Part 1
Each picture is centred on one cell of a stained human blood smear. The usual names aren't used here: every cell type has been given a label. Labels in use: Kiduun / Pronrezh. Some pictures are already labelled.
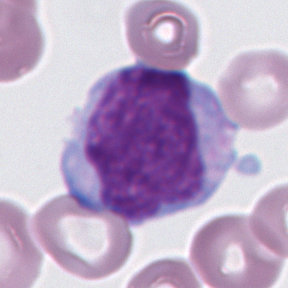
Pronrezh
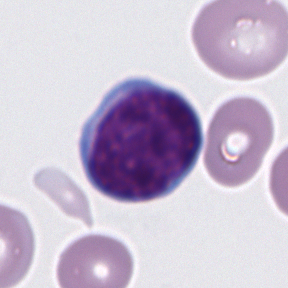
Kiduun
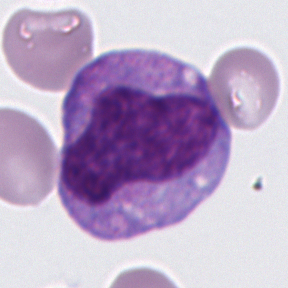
Pronrezh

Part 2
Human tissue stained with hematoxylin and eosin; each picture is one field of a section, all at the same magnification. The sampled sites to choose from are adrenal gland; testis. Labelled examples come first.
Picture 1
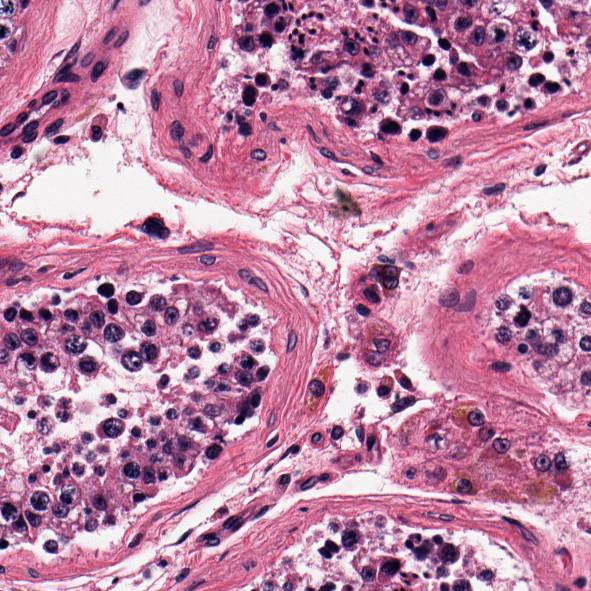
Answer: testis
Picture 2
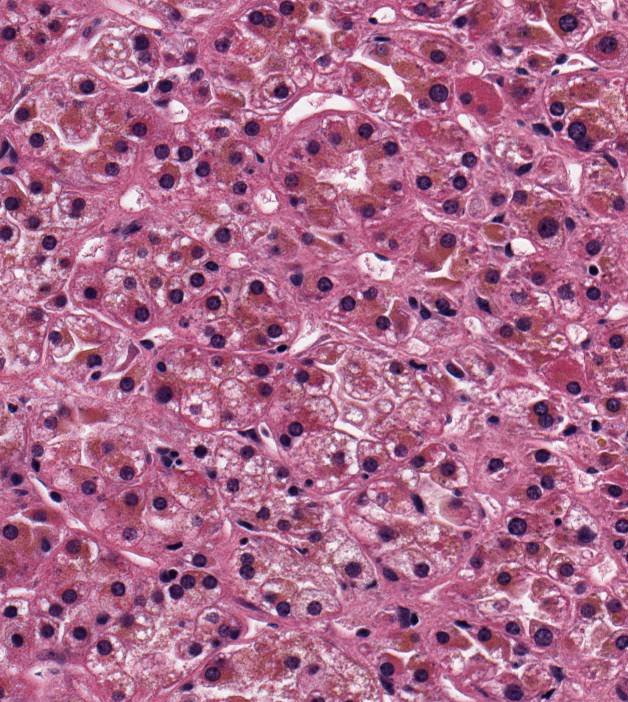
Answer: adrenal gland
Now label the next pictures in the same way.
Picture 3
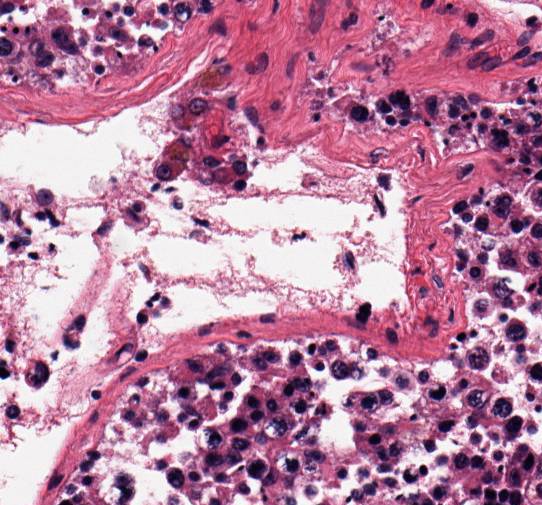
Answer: testis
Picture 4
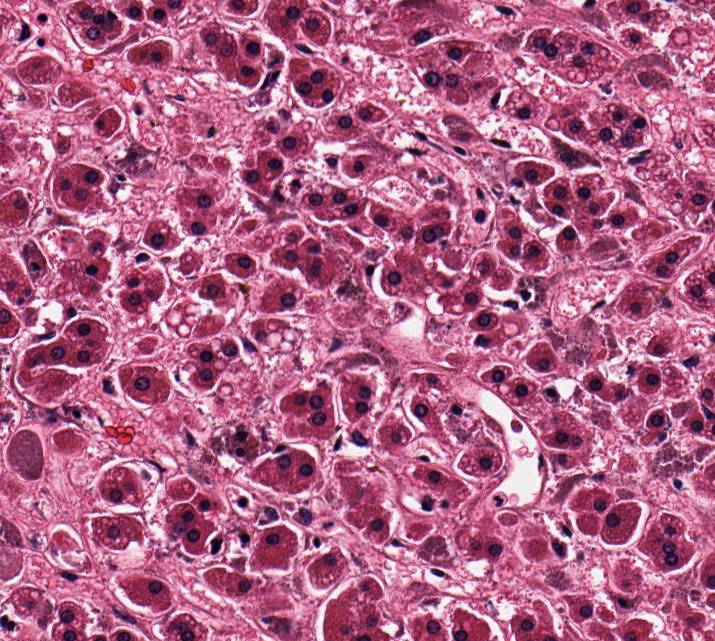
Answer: adrenal gland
